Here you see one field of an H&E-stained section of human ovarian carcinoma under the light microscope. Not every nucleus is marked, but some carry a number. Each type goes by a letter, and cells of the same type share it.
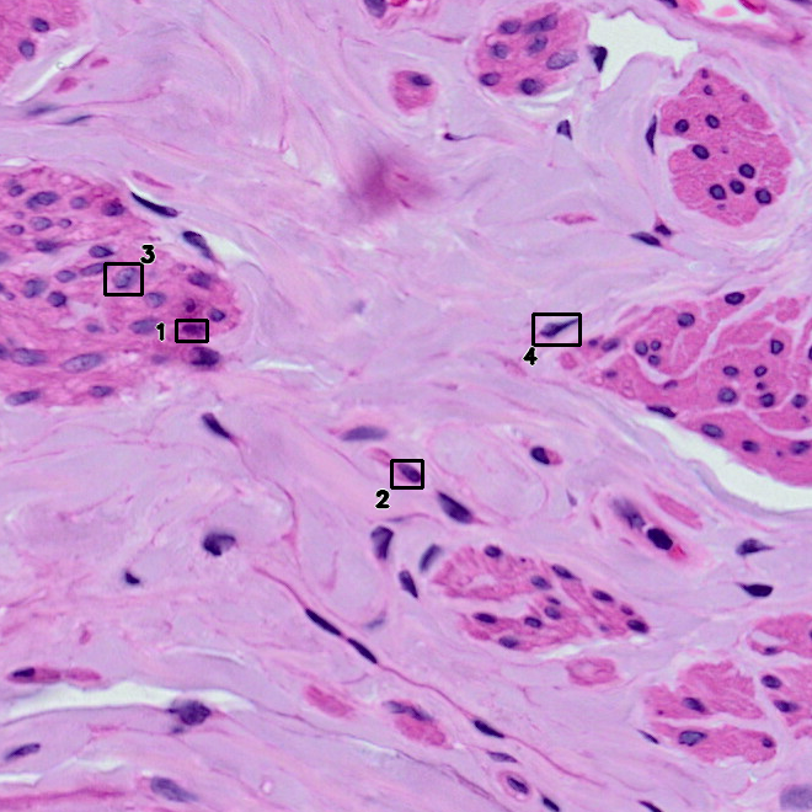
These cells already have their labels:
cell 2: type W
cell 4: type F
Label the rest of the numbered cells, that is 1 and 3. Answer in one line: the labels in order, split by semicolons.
type W; type W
